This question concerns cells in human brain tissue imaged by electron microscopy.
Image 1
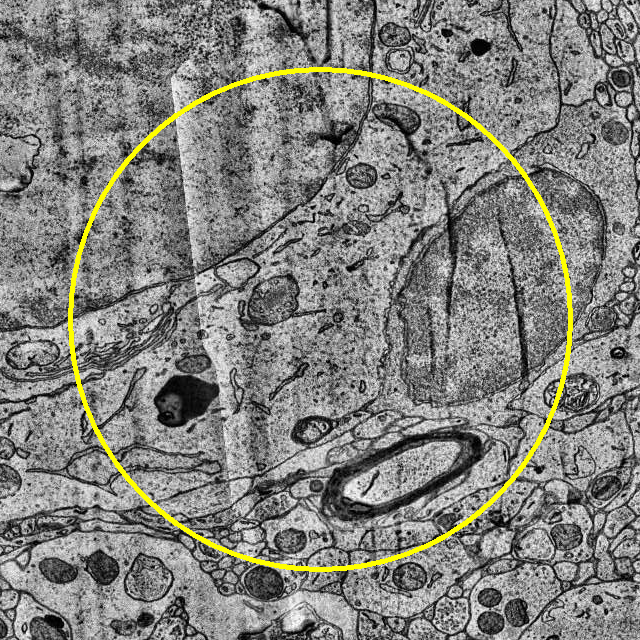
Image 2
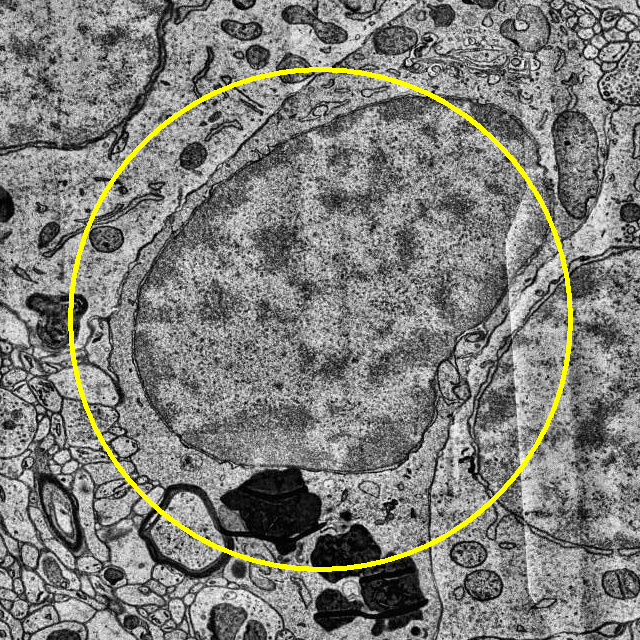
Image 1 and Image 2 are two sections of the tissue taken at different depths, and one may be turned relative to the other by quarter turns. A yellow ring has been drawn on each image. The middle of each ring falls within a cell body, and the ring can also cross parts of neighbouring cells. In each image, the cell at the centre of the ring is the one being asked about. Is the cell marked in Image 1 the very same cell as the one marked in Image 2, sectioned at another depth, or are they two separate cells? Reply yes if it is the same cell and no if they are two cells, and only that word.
yes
